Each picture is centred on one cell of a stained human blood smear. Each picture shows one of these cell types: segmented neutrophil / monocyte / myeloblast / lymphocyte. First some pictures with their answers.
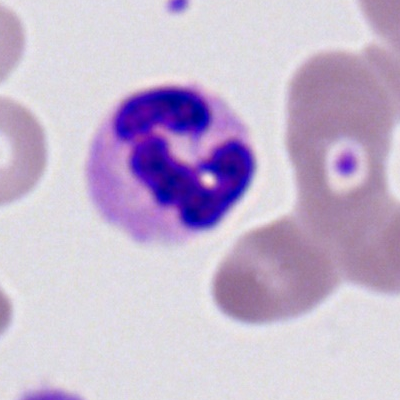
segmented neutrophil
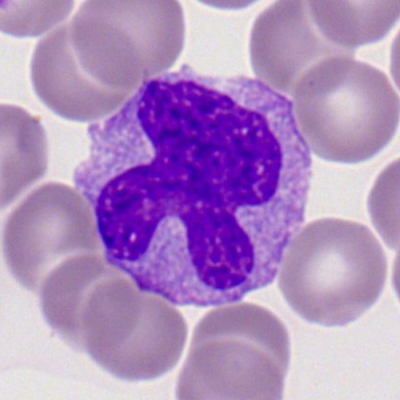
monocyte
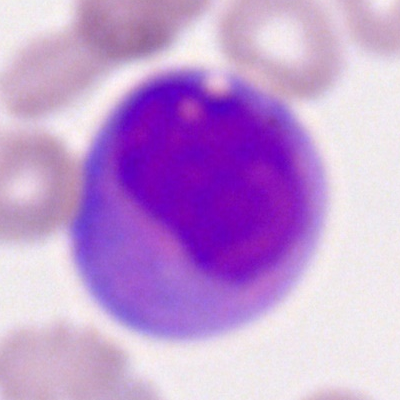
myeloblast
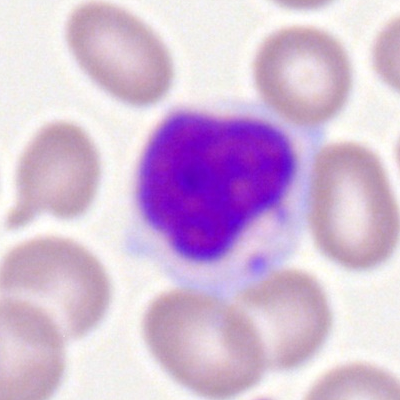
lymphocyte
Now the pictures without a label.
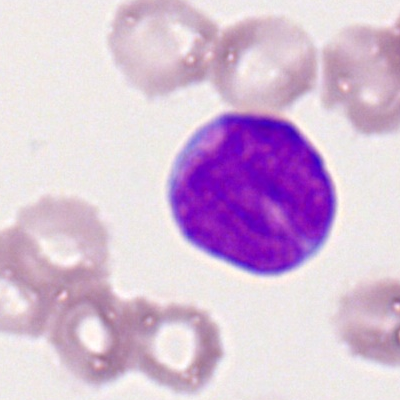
myeloblast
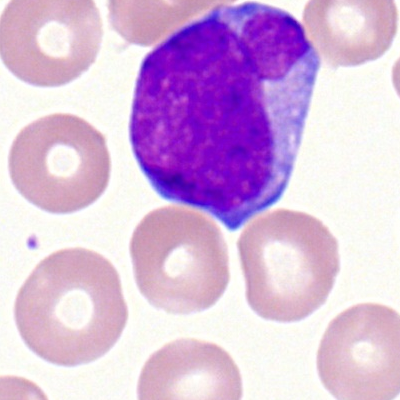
myeloblast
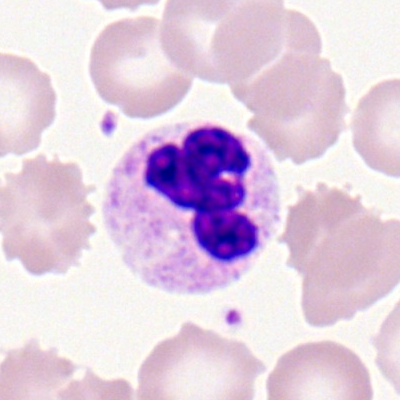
segmented neutrophil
